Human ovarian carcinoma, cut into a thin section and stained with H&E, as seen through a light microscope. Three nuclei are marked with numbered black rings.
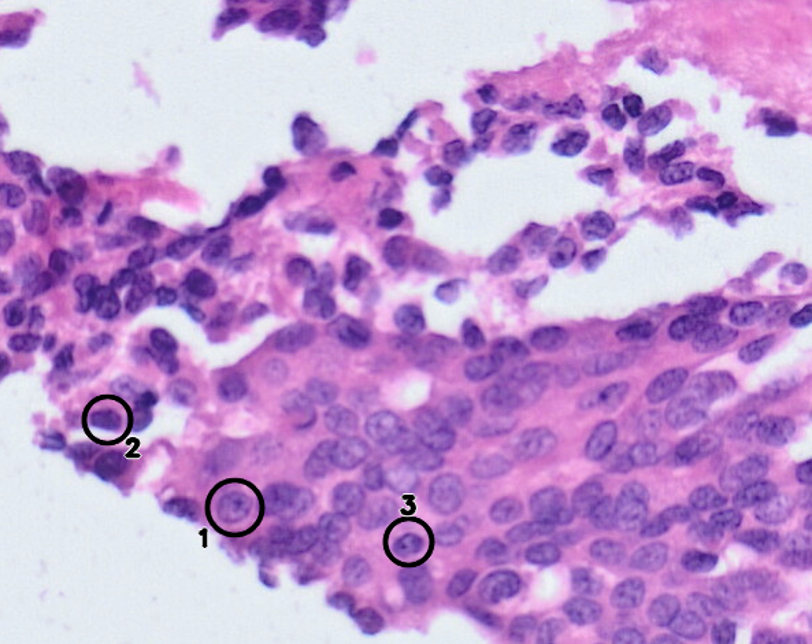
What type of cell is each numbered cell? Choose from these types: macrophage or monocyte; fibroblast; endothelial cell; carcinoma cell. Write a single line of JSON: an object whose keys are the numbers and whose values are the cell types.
{"1": "macrophage or monocyte", "2": "carcinoma cell", "3": "macrophage or monocyte"}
